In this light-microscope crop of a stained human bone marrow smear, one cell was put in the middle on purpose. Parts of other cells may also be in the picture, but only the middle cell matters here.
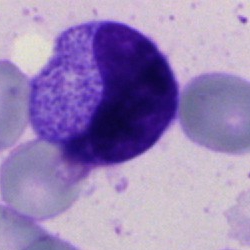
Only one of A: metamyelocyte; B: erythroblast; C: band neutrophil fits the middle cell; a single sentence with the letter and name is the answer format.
The correct response is option A, naming the cell in the middle as a metamyelocyte.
